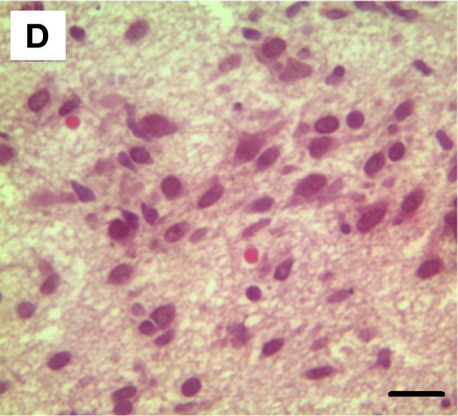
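This hematoxylin and eosin section shows neurons set in a pale pink neuropil riddled with small clear vacuoles. The neuronal bodies look darker and smaller than plump pyramidal cells: their cytoplasm stains deep purple, their nuclei are dense, and their outlines are angular or drawn out, many pointing in one direction. Numerous small round dark nuclei are crowded between them. A few small bright red round bodies lie in the tissue. The sponge-like clearing of the neuropil together with the dark, condensed neurons gives an altered picture, unlike evenly spaced neurons with pale nuclei and clear nucleoli.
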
